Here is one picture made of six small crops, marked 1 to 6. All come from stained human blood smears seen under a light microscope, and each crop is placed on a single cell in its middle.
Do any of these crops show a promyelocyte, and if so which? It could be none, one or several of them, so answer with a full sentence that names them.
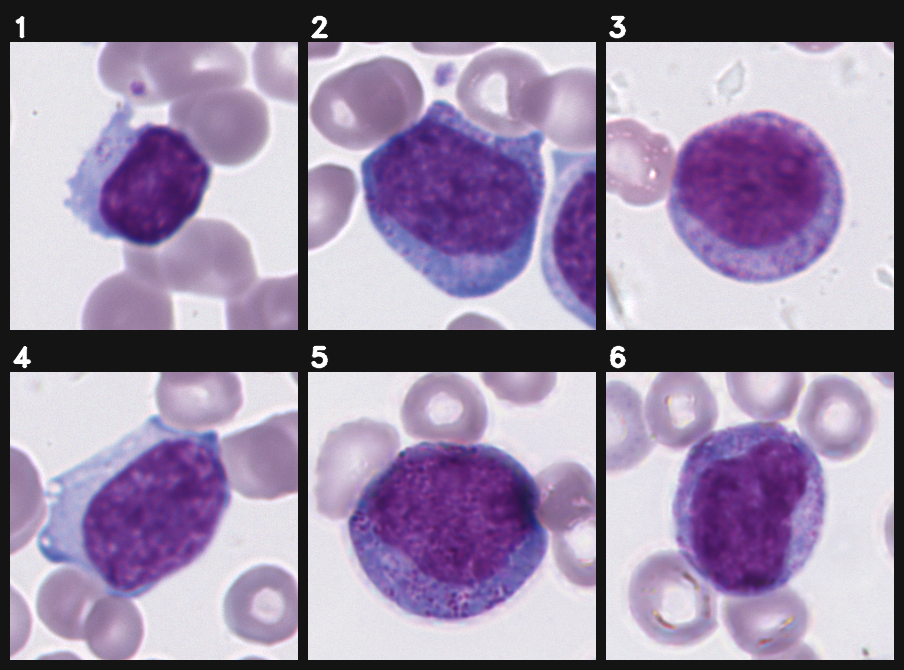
Crops 2, 3, 5 and 6 are the ones showing promyelocytes.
